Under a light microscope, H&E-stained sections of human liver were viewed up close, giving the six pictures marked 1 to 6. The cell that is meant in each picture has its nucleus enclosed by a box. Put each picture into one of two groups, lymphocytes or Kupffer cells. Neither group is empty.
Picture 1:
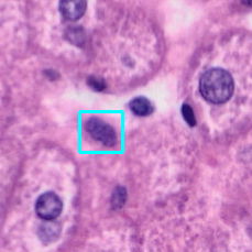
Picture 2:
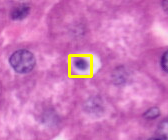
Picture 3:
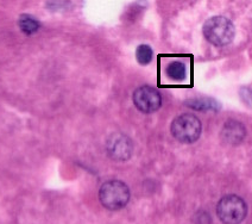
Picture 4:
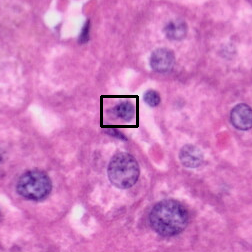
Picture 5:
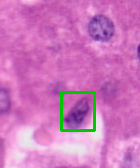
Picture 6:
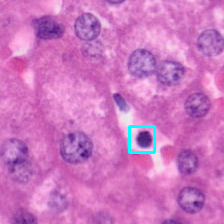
1: Kupffer cell
2: lymphocyte
3: lymphocyte
4: Kupffer cell
5: Kupffer cell
6: lymphocyte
